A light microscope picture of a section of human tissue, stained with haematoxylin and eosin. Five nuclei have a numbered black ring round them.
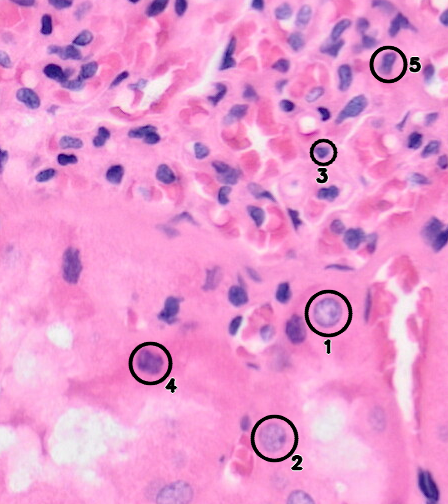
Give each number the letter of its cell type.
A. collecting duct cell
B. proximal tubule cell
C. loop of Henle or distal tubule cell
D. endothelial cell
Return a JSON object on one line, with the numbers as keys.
{"1": "B", "2": "B", "3": "D", "4": "B", "5": "D"}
